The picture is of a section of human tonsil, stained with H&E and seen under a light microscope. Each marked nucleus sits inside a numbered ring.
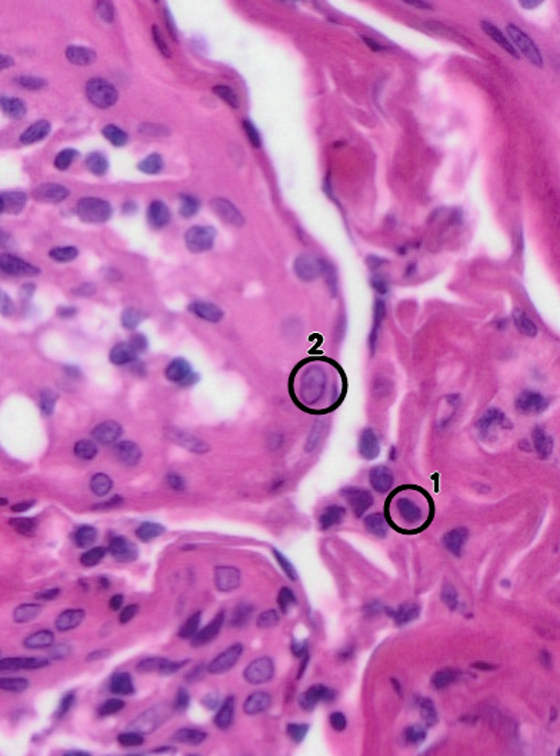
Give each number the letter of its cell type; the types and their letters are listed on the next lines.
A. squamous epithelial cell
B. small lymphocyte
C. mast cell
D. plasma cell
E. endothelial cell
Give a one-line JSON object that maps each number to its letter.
{"1": "D", "2": "A"}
